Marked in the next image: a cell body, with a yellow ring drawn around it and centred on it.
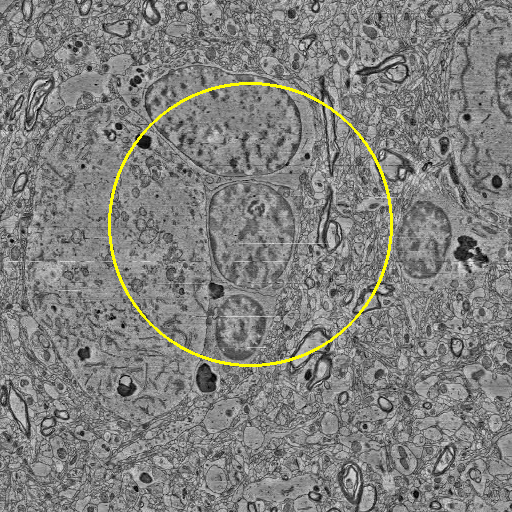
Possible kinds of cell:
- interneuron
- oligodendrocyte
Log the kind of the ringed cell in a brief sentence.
The ringed cell body is that of an oligodendrocyte.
